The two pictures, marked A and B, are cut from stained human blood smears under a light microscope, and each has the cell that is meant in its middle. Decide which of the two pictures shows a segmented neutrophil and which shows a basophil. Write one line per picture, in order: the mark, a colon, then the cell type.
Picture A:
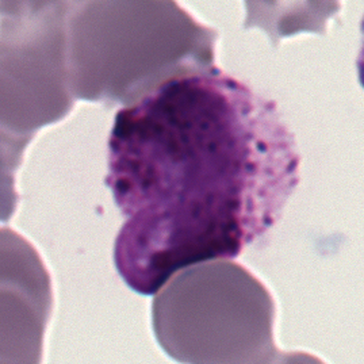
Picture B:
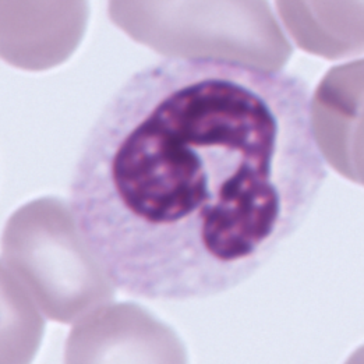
A: basophil
B: segmented neutrophil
